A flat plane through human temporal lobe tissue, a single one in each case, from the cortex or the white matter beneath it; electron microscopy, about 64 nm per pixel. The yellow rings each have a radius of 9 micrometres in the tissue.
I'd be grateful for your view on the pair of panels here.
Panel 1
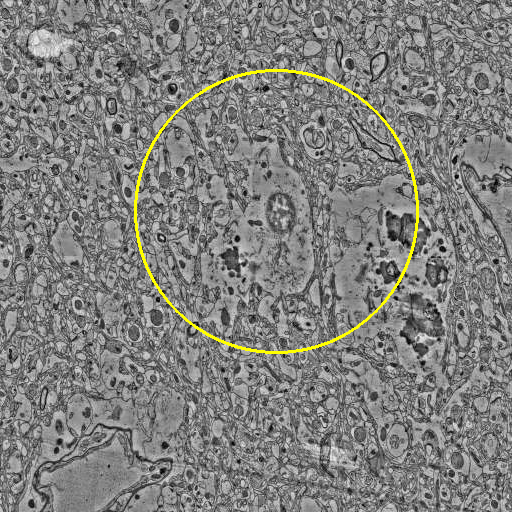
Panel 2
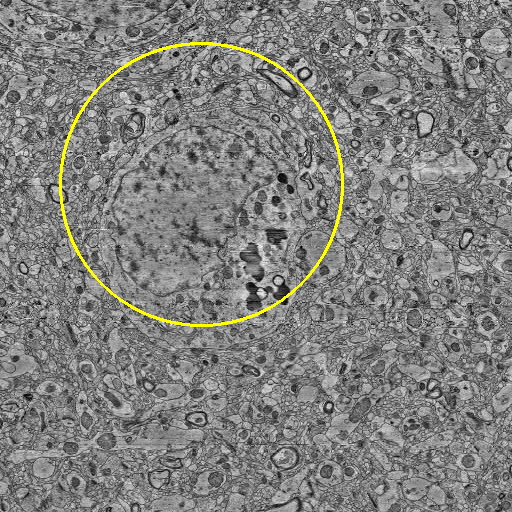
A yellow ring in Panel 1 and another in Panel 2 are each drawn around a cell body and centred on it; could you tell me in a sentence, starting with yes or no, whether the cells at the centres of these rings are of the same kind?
No, they are two kinds of cell.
